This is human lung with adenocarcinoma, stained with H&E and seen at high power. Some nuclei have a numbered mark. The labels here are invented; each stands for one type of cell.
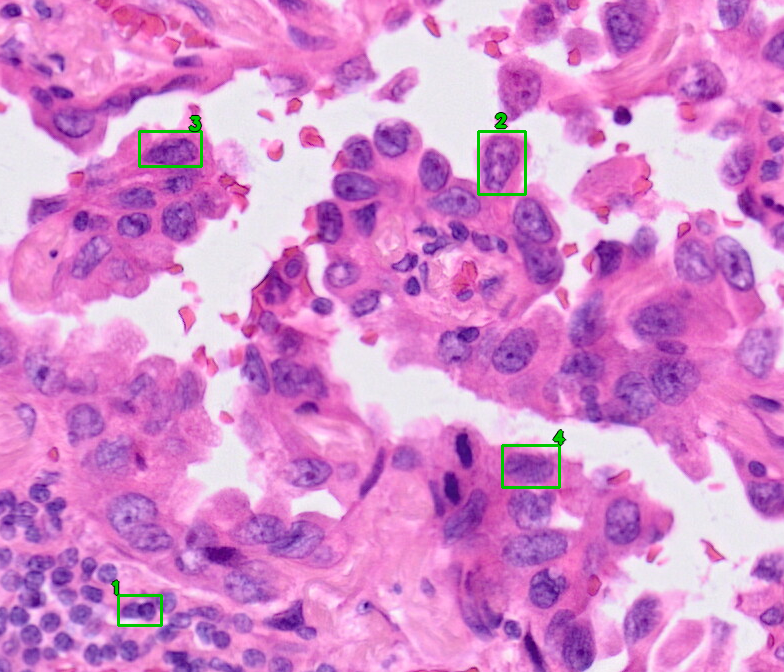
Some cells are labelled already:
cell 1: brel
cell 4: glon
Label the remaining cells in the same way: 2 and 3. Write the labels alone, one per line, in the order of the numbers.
glon
glon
